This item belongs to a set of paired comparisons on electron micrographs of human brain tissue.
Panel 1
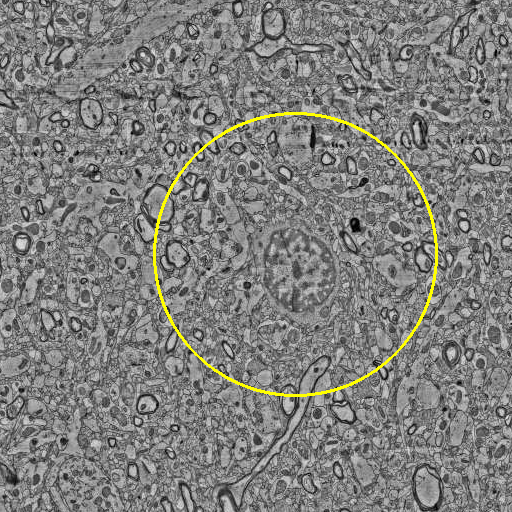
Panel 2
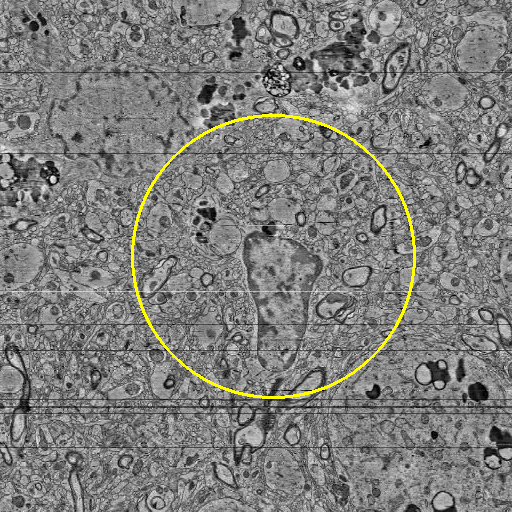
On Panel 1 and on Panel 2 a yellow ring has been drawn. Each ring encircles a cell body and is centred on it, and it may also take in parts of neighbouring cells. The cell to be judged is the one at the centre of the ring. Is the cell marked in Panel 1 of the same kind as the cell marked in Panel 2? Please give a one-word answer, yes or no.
no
